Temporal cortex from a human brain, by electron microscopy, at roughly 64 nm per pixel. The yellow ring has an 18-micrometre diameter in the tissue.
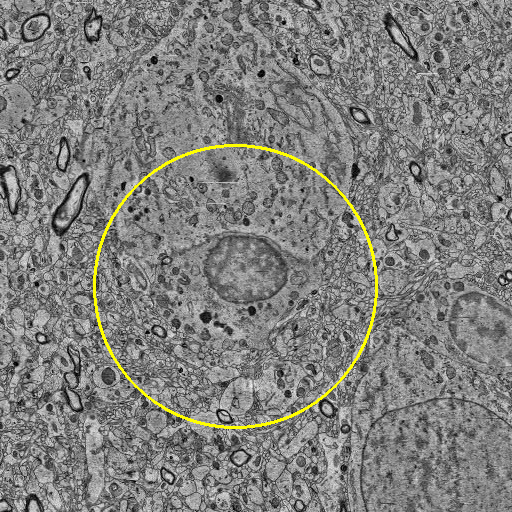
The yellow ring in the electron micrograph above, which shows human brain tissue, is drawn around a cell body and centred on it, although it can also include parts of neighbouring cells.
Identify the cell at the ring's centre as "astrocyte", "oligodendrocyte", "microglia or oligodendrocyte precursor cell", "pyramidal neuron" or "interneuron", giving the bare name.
oligodendrocyte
